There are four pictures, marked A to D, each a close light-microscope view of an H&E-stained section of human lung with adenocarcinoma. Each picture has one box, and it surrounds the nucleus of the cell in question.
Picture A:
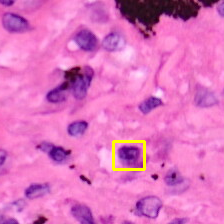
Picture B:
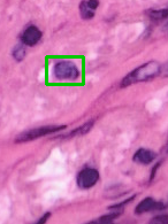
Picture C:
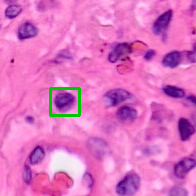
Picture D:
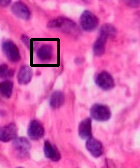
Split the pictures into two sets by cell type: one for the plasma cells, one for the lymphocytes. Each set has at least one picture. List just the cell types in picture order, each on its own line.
plasma cell
lymphocyte
lymphocyte
lymphocyte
